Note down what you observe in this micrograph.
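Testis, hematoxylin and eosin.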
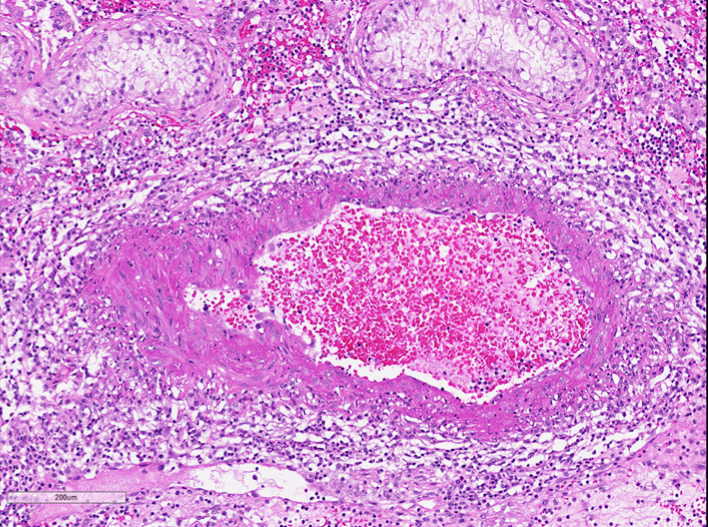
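The tissue around the vessel is loose and densely infiltrated by small cells with round dark nuclei. Rounded tubular structures with pale centres lie along the upper edge.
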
